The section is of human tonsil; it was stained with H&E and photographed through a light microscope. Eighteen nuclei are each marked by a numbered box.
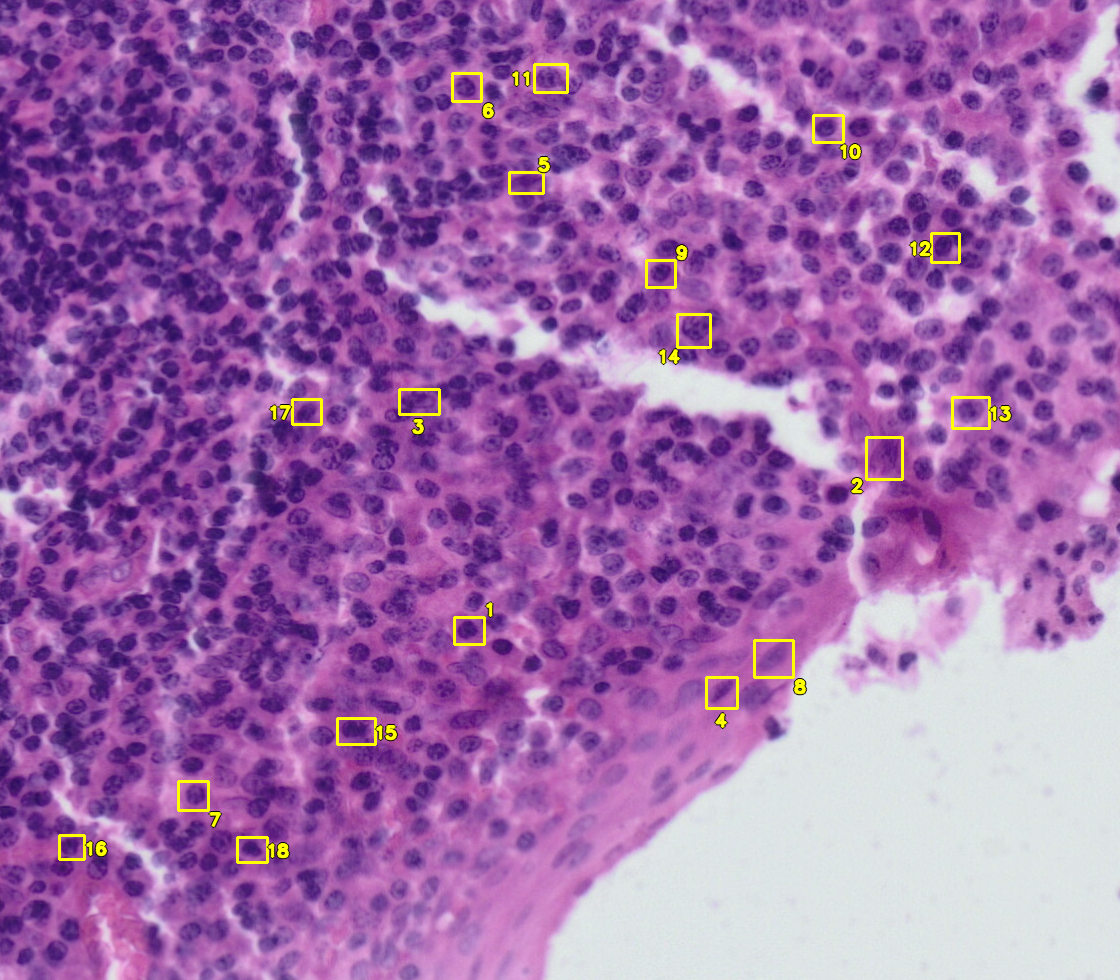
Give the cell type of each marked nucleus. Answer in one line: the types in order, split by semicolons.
plasma cell; squamous epithelial cell; squamous epithelial cell; squamous epithelial cell; squamous epithelial cell; plasma cell; plasma cell; squamous epithelial cell; plasma cell; plasma cell; plasma cell; plasma cell; squamous epithelial cell; plasma cell; squamous epithelial cell; plasma cell; plasma cell; squamous epithelial cell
